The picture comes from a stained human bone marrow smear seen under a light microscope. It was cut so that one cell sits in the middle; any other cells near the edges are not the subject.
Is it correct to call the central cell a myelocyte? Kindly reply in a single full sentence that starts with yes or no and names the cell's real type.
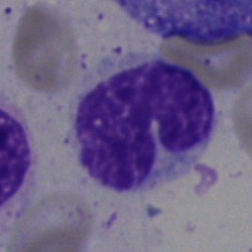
No, it is a monocyte, not a myelocyte, that lies at the centre of the crop.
